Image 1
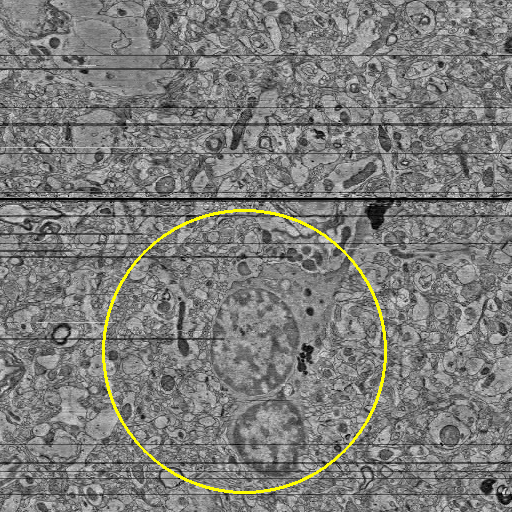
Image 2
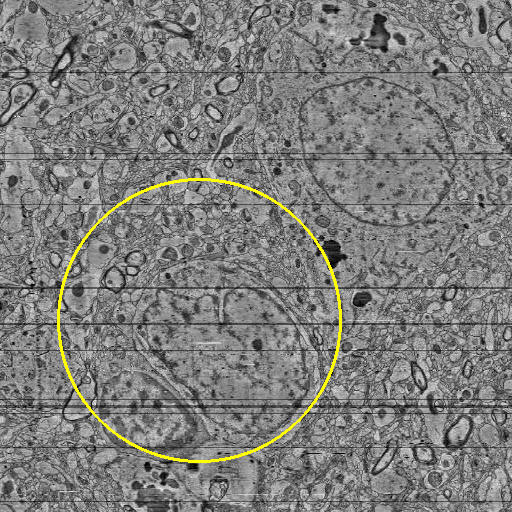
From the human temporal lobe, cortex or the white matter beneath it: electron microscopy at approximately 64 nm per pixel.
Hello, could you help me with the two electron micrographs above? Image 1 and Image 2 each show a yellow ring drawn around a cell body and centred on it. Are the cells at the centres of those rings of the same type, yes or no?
no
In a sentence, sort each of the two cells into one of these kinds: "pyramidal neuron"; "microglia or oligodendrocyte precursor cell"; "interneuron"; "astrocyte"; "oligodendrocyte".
The first of the two cells is an oligodendrocyte, and the second is an interneuron.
